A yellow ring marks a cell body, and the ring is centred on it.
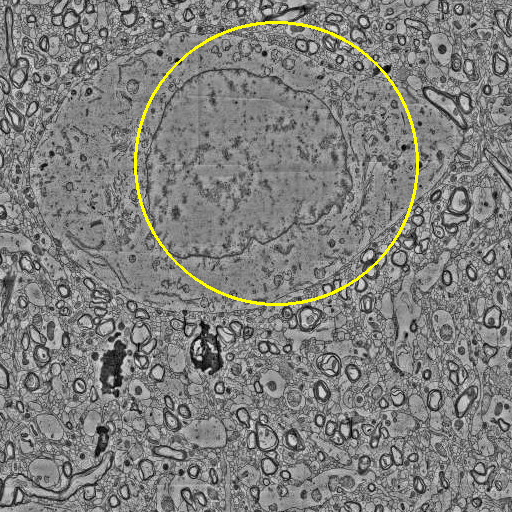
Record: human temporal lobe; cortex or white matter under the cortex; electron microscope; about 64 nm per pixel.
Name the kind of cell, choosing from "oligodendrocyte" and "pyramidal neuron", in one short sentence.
The marked cell body belongs to a pyramidal neuron.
